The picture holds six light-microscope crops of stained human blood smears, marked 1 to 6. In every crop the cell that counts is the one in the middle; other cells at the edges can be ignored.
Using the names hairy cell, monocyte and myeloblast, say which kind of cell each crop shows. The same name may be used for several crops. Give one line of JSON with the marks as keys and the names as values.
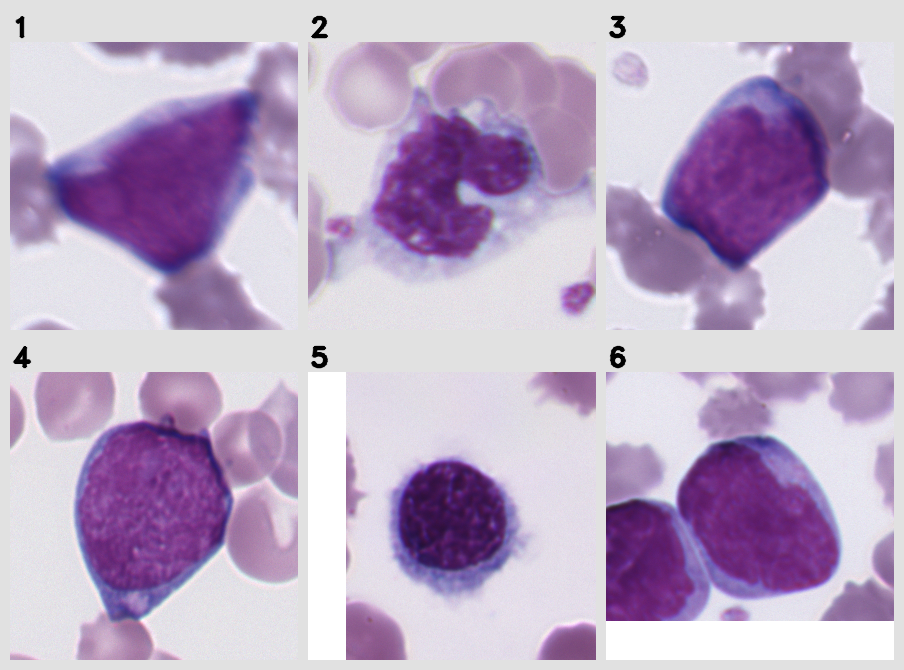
{"1": "myeloblast", "2": "monocyte", "3": "myeloblast", "4": "myeloblast", "5": "hairy cell", "6": "myeloblast"}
